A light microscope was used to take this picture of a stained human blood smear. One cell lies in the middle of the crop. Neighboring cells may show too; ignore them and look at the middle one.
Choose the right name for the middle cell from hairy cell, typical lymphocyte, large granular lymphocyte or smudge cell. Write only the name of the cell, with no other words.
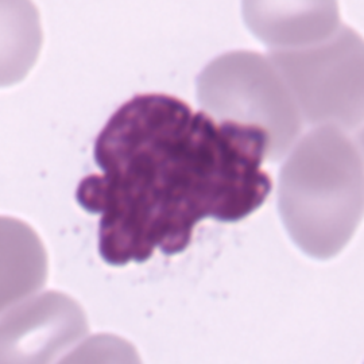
smudge cell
